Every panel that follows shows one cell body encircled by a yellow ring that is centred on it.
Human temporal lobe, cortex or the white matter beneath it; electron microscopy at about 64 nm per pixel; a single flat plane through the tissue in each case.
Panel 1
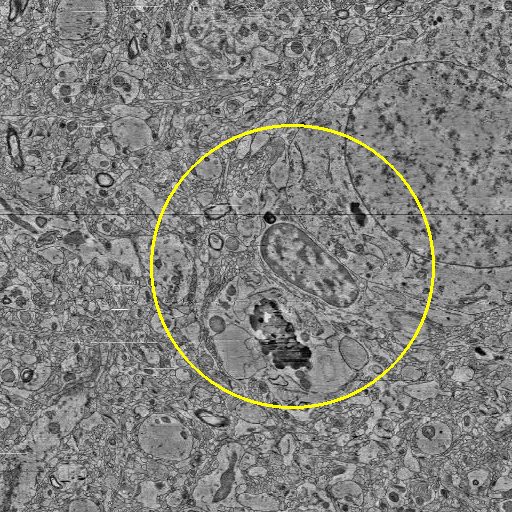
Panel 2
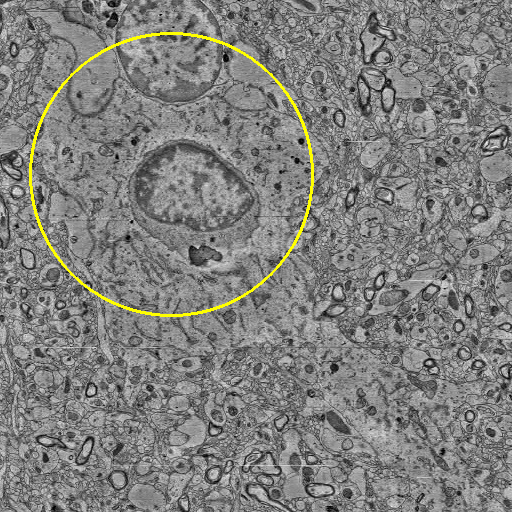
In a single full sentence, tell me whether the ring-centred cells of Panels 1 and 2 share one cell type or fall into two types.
In Panel 1 and Panel 2, the cells at the ring centres fall into two types.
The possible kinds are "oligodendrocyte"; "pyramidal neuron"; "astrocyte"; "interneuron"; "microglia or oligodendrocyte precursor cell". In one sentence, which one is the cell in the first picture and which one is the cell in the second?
The cell ringed in the second picture is an oligodendrocyte, whereas the one ringed in the first is a microglial cell or oligodendrocyte precursor cell.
